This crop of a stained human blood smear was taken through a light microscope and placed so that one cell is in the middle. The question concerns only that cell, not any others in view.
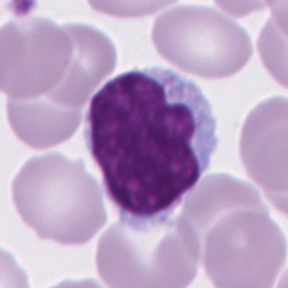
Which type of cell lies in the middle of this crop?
typical lymphocyte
